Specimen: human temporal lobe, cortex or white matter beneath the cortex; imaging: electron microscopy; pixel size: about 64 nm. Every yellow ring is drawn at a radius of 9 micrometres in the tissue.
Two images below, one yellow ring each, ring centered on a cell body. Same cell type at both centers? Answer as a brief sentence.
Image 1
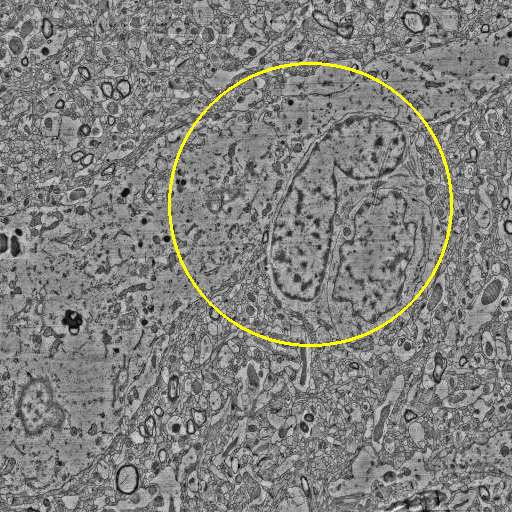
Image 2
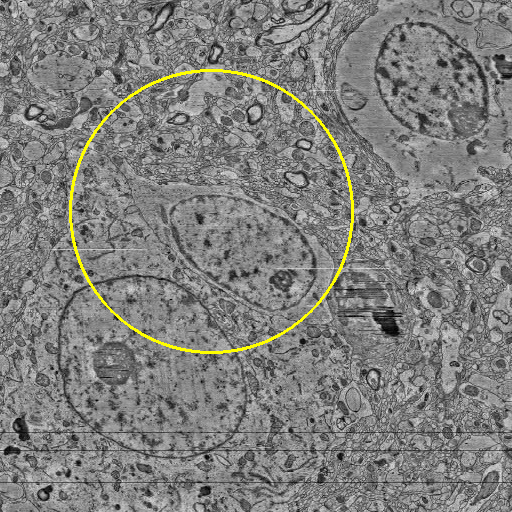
Yes, both cells are of the same type.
